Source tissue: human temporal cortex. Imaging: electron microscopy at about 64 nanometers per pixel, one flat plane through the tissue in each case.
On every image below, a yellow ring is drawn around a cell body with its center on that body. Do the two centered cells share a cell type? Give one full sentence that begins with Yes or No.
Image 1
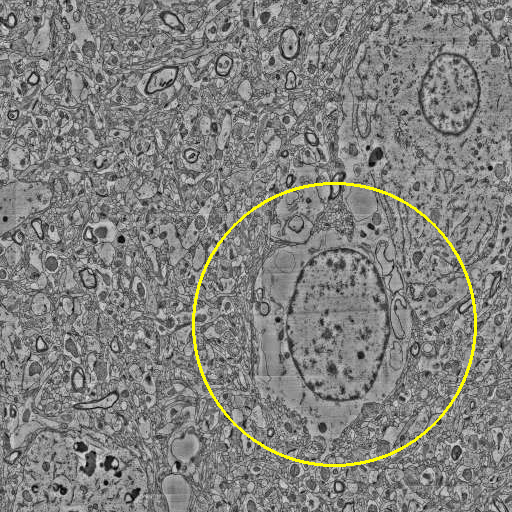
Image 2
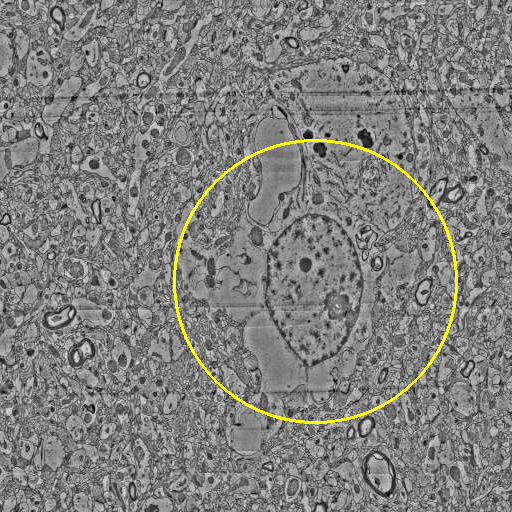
Yes, the centered cells in the two images are of a single cell type.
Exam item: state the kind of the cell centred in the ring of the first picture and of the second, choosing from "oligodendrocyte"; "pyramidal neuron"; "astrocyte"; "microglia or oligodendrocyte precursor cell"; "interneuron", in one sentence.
Each of the two cells is an astrocyte.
